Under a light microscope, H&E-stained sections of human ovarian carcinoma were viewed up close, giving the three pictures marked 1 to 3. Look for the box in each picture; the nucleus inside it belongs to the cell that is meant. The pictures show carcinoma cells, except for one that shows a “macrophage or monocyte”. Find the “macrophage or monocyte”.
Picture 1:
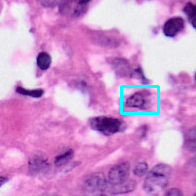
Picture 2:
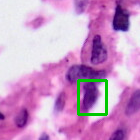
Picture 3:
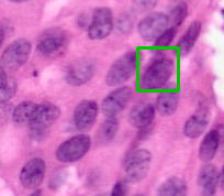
1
